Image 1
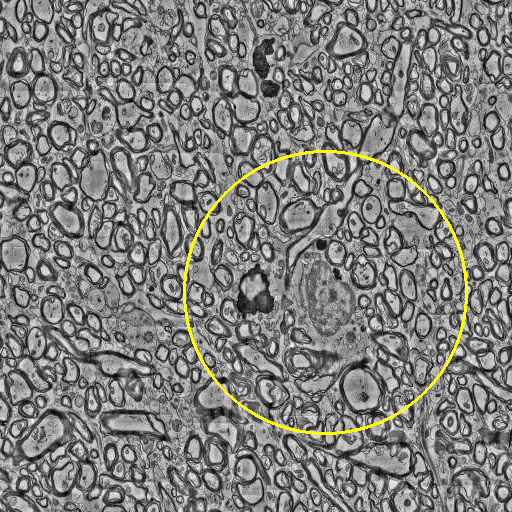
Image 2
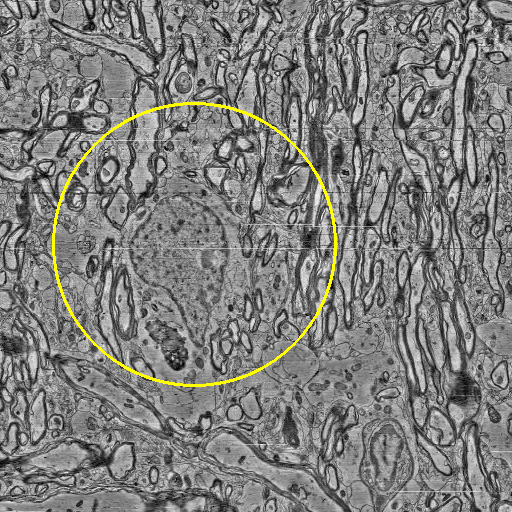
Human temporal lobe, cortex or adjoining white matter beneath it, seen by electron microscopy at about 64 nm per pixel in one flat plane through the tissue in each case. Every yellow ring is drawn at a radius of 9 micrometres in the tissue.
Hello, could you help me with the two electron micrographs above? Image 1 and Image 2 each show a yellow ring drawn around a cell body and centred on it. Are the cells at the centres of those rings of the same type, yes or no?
no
